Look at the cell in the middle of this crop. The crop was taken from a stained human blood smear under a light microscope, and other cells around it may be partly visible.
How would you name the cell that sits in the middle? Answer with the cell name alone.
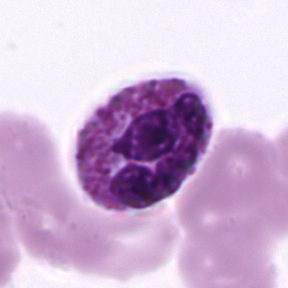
eosinophil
